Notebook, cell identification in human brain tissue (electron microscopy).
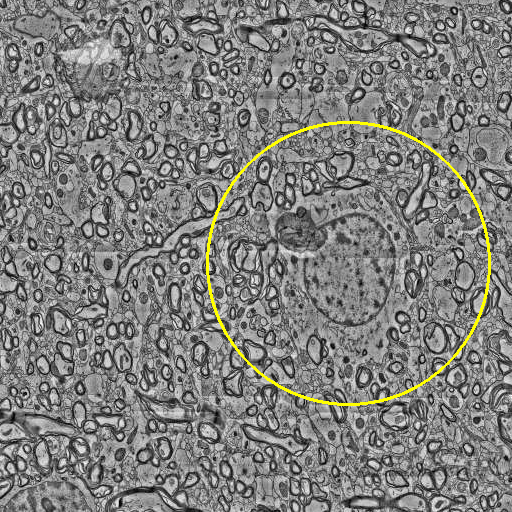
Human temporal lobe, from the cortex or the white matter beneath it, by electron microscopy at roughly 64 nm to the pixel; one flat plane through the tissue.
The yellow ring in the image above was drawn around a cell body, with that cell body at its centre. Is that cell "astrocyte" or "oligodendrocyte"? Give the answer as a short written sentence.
The cell in the ring is an astrocyte.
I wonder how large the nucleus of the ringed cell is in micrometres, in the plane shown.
About 7 by 6 micrometers for the nucleus, in this plane.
